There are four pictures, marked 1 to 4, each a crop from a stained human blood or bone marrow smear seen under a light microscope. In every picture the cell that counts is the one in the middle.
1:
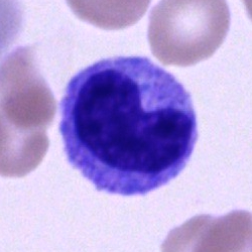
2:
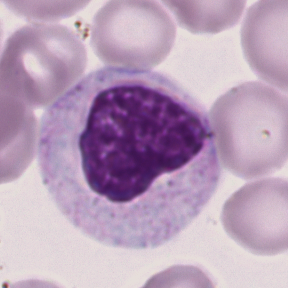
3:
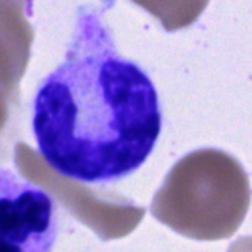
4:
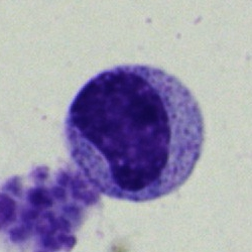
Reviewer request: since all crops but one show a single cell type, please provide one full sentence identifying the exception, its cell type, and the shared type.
Crop 3 is a band neutrophil, while the rest of the set consists of metamyelocytes.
